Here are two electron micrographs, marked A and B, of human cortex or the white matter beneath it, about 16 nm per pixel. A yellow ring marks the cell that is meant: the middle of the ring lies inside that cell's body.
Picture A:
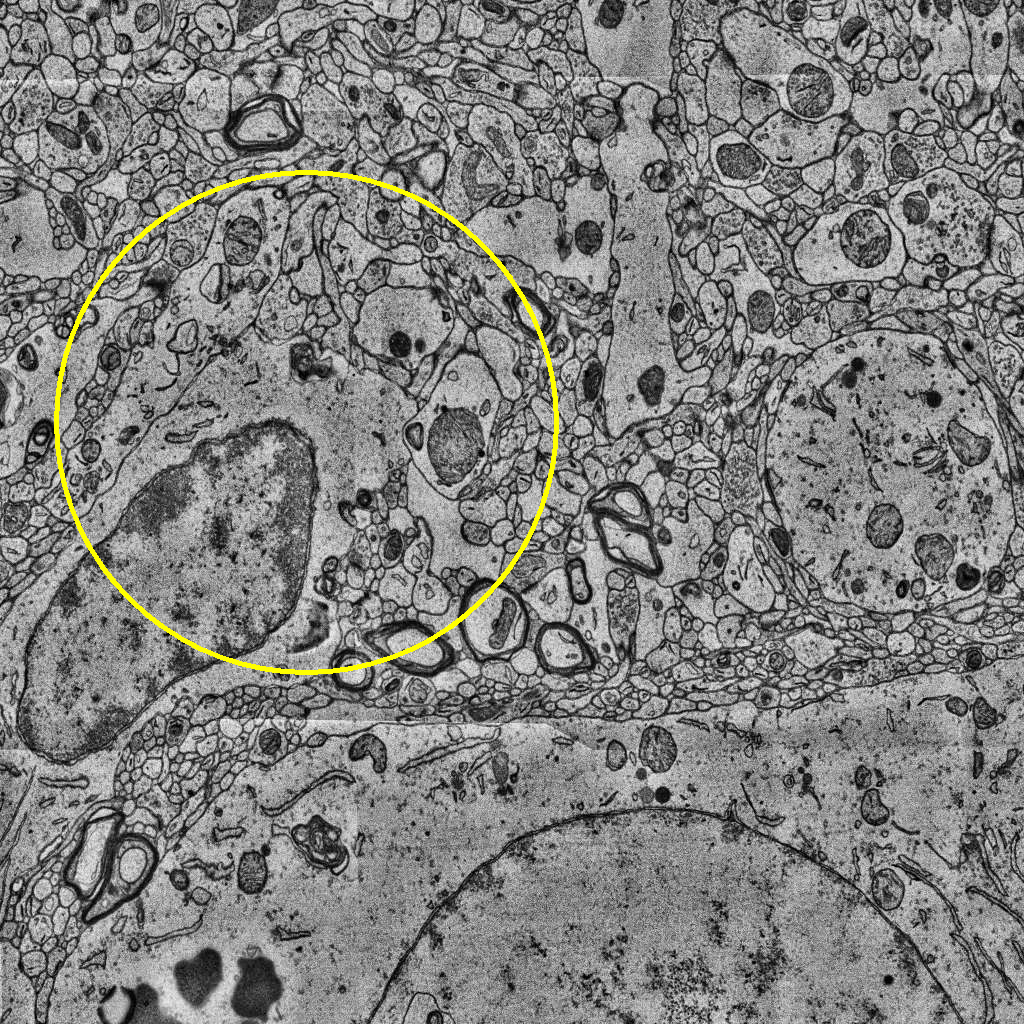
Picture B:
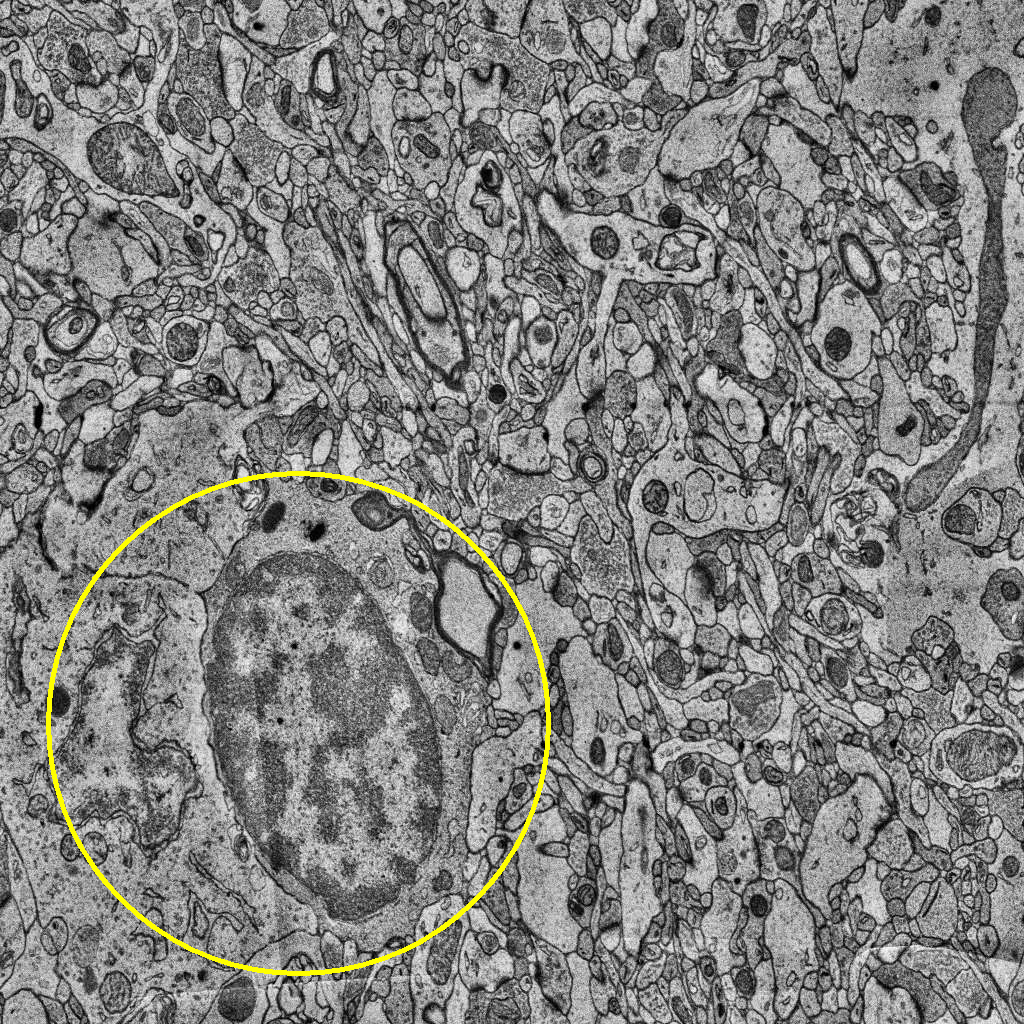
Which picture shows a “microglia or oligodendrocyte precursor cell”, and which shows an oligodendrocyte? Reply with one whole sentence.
Picture A is of a “microglia or oligodendrocyte precursor cell”, and picture B is of an oligodendrocyte.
